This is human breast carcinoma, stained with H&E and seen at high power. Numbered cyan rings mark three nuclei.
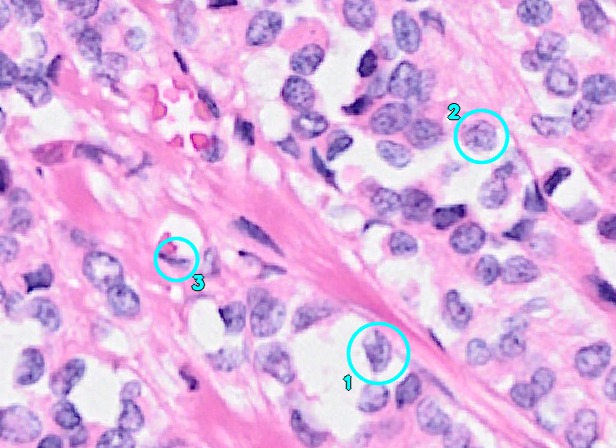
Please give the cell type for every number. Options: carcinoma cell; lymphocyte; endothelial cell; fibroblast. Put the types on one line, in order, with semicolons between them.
carcinoma cell; carcinoma cell; endothelial cell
